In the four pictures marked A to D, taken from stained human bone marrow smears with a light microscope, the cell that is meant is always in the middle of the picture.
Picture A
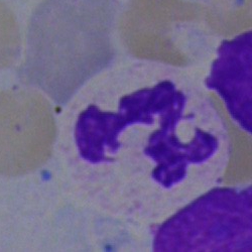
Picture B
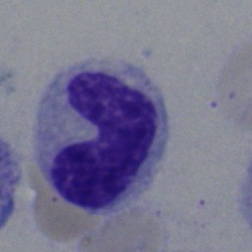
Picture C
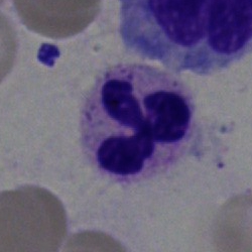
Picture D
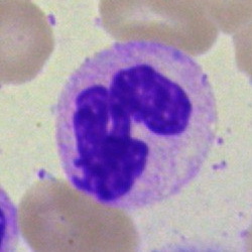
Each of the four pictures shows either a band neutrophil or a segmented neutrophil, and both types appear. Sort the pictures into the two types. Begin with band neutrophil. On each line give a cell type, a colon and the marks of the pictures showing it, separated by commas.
band neutrophil: B
segmented neutrophil: A, C, D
